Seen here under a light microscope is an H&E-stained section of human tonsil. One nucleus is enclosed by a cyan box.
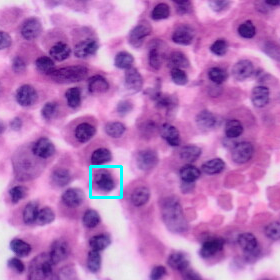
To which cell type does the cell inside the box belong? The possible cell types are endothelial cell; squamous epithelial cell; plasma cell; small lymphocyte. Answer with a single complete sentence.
Within the stained tissue, the cell inside the box is a plasma cell.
